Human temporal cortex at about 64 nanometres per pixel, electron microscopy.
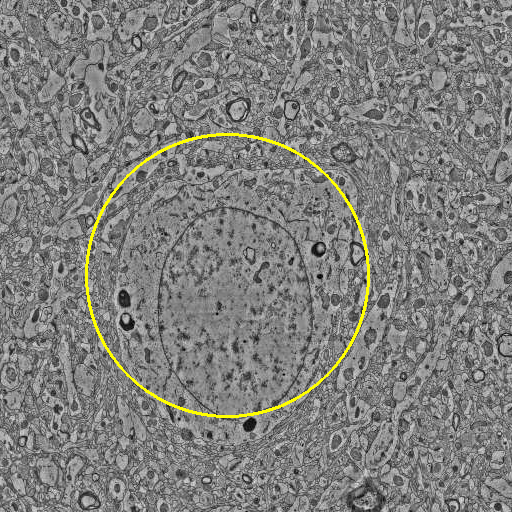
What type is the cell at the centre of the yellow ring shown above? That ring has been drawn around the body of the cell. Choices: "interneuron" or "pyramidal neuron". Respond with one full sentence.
My answer is that a pyramidal neuron lies at the centre of the yellow ring above.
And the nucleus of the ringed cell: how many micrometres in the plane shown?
In this plane, approximately 14 by 10 micrometers.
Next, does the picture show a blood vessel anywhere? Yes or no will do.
No, none appears.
